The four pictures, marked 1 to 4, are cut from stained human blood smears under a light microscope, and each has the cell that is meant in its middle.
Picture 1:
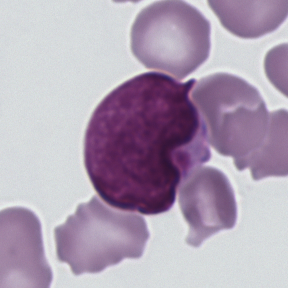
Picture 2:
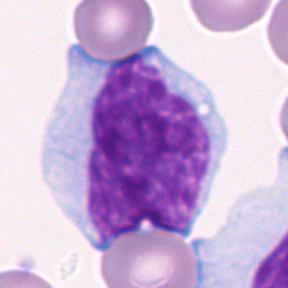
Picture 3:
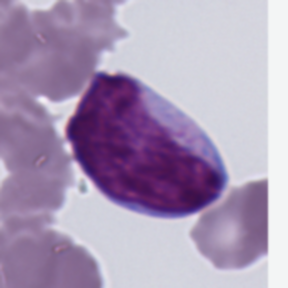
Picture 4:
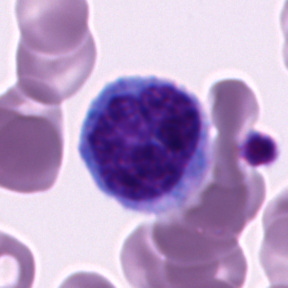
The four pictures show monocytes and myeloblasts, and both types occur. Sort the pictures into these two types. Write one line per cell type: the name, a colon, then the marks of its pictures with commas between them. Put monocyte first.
monocyte: 4
myeloblast: 1, 2, 3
